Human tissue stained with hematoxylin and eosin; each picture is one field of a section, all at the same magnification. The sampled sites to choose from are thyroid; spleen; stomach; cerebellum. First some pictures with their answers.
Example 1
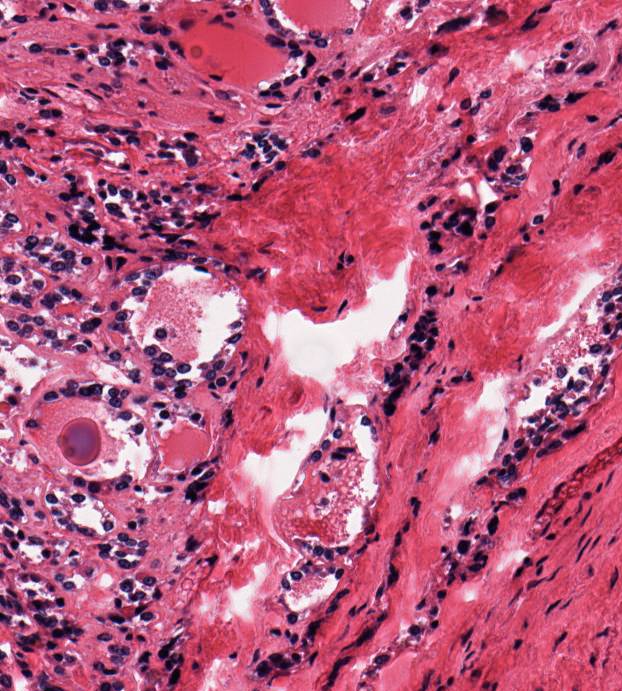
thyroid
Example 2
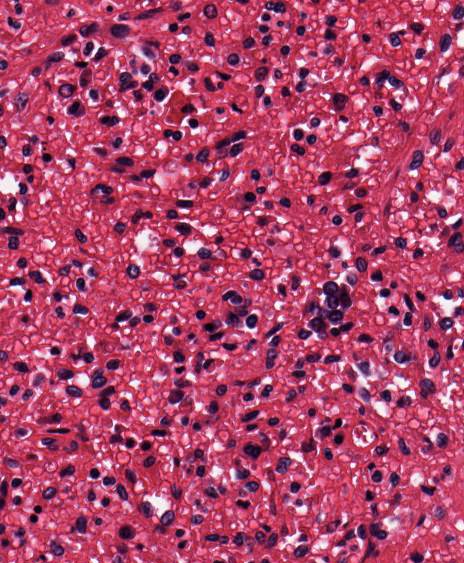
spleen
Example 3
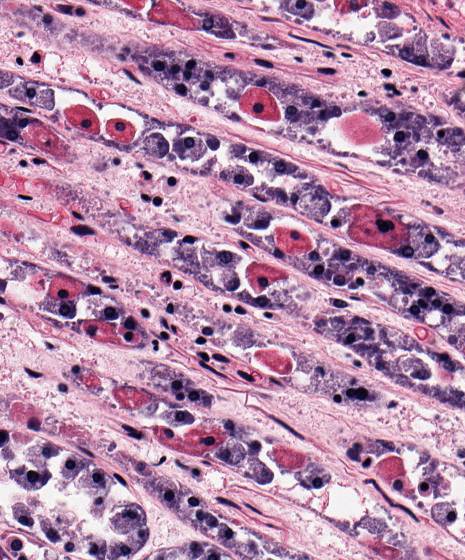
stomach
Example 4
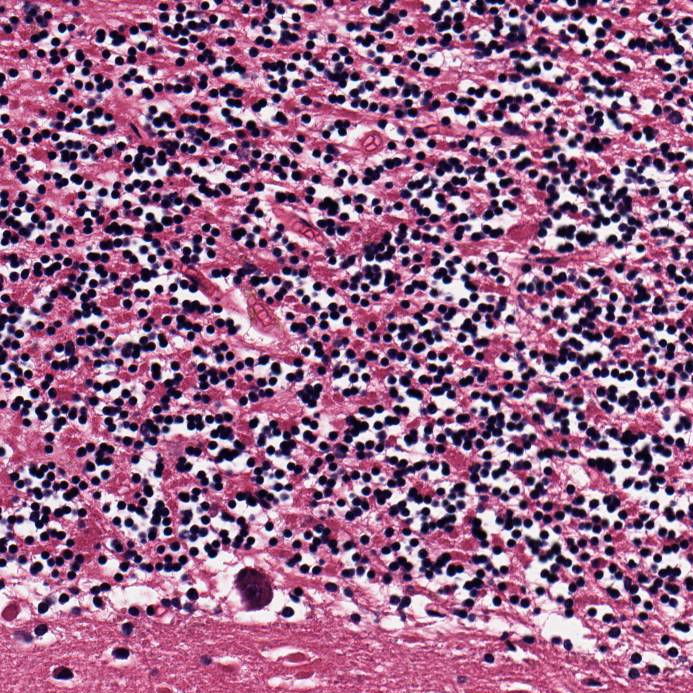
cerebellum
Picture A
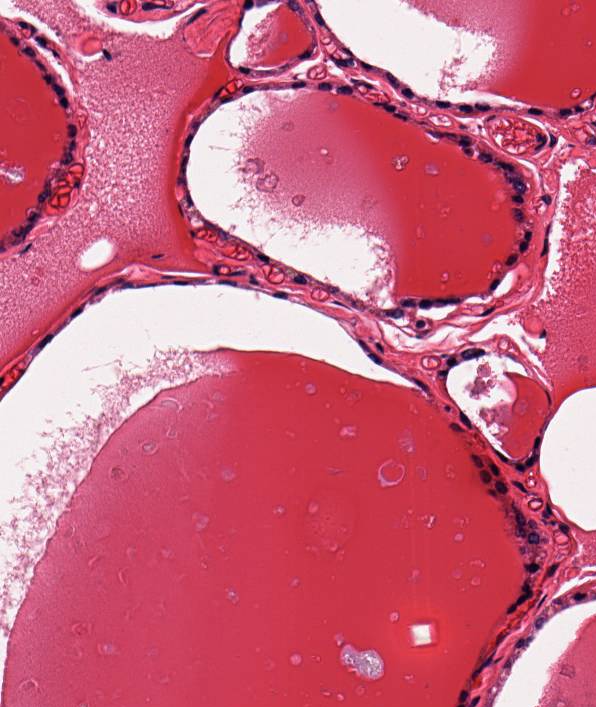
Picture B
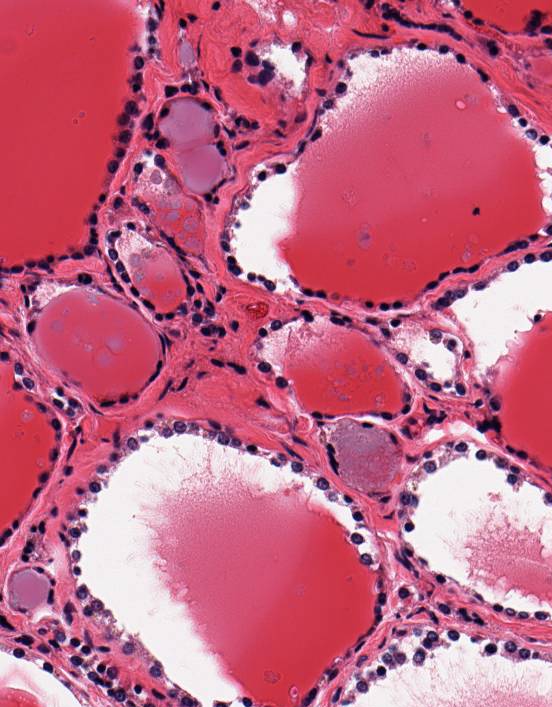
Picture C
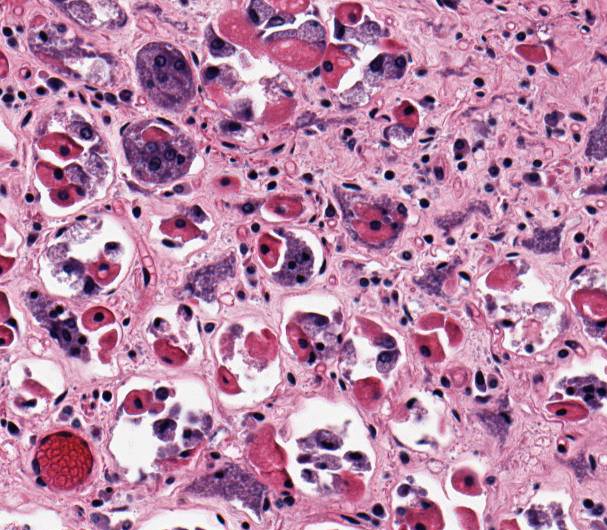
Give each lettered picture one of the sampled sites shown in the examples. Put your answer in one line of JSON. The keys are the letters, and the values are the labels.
{"A": "thyroid", "B": "thyroid", "C": "stomach"}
